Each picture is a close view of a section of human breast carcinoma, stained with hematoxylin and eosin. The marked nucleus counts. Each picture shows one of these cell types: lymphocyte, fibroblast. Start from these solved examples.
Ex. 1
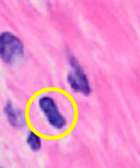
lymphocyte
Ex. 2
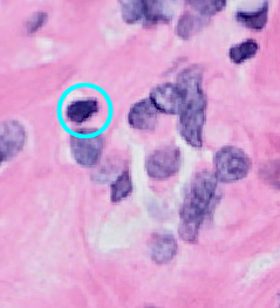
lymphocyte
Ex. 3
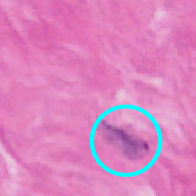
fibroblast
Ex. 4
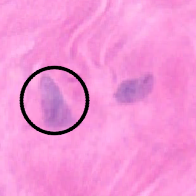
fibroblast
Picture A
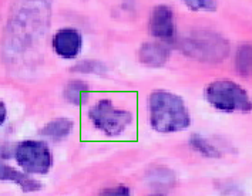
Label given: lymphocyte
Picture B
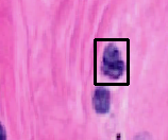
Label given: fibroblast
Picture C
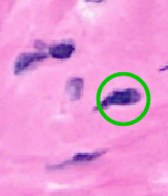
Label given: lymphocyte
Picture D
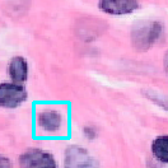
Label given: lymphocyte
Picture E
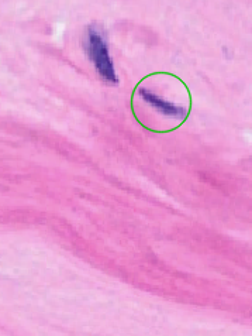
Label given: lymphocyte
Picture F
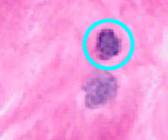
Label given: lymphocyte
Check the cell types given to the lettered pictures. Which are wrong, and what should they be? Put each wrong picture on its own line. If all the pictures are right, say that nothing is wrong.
B is labelled fibroblast; correct label: lymphocyte
E is labelled lymphocyte; correct label: fibroblast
